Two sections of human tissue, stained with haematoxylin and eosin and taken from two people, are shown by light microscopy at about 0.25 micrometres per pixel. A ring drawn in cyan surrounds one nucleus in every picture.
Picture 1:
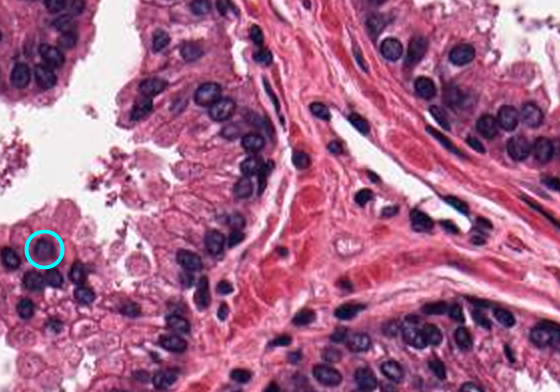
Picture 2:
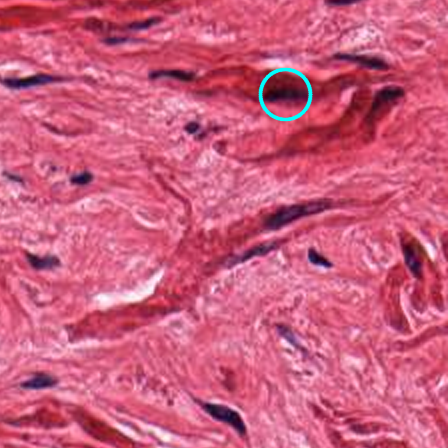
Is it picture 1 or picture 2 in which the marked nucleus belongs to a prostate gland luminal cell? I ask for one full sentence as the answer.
As for picture 1, its marked nucleus belongs to a prostate gland luminal cell.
